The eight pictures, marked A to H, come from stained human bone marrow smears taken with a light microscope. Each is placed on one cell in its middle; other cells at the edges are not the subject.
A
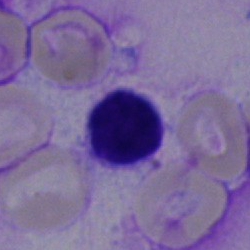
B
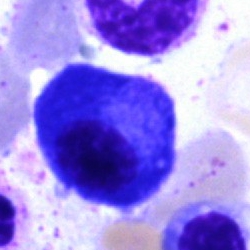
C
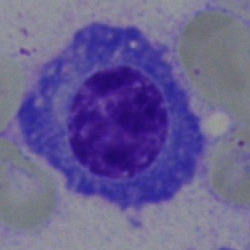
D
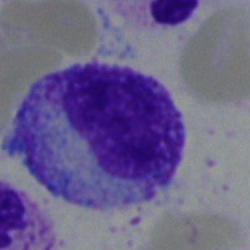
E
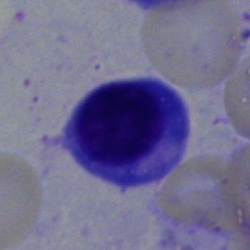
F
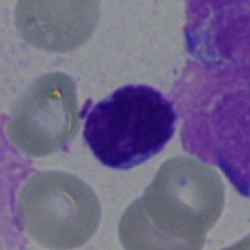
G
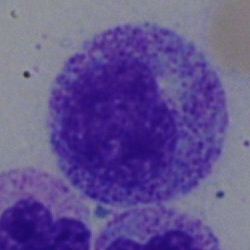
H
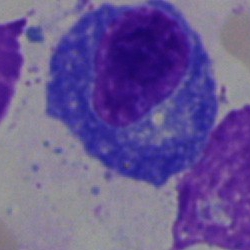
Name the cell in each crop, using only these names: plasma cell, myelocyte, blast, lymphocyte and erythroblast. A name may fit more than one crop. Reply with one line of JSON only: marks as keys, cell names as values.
{"A": "lymphocyte", "B": "plasma cell", "C": "plasma cell", "D": "myelocyte", "E": "plasma cell", "F": "lymphocyte", "G": "myelocyte", "H": "plasma cell"}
